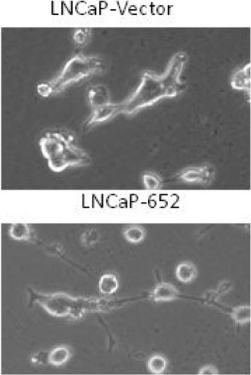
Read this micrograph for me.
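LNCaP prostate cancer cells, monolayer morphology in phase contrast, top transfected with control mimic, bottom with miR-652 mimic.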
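In the upper image the cells sit in small clusters, with bright refractile borders and short, irregular projections. In the lower image many cells are small and rounded, and a few have long, thin processes extending between them.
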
